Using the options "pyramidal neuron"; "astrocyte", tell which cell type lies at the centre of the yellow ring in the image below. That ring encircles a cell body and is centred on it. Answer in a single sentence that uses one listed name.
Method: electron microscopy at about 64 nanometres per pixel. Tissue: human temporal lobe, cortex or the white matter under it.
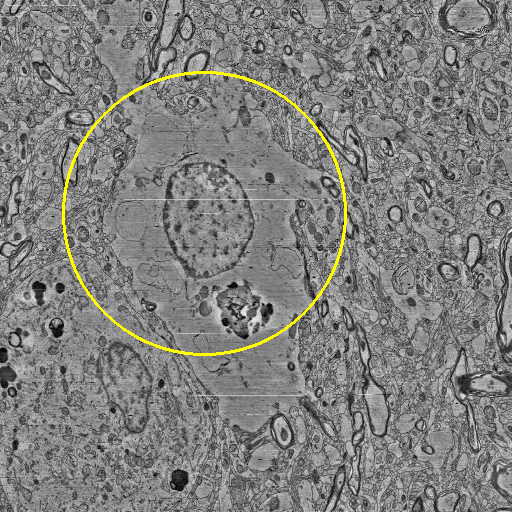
At the centre of the yellow ring lies the body of an astrocyte.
